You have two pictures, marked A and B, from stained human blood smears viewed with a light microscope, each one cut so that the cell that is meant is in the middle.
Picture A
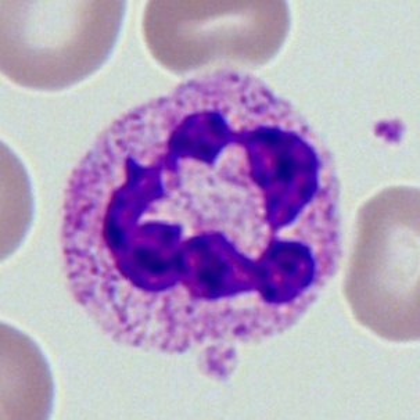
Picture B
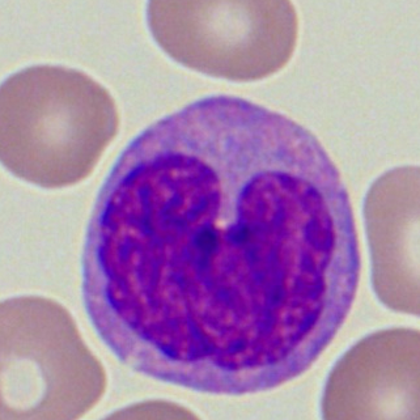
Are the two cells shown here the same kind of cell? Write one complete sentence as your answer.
No, the types are not the same, since picture A shows a segmented neutrophil and picture B a monocyte.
